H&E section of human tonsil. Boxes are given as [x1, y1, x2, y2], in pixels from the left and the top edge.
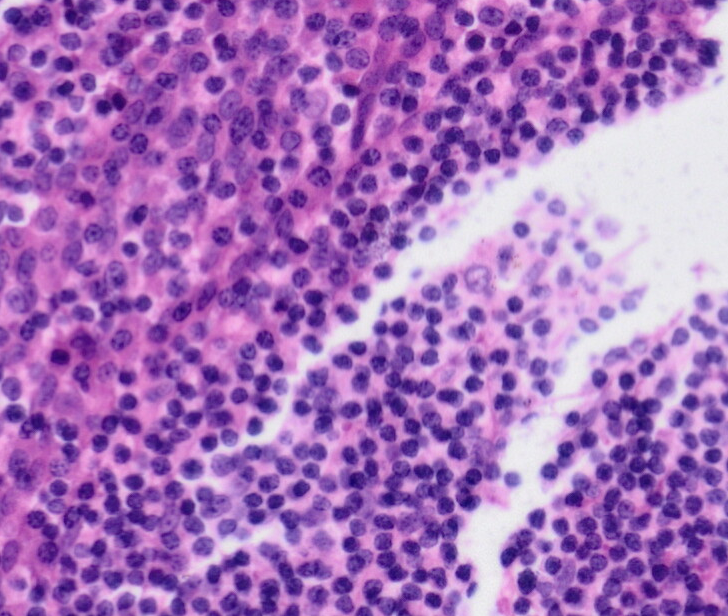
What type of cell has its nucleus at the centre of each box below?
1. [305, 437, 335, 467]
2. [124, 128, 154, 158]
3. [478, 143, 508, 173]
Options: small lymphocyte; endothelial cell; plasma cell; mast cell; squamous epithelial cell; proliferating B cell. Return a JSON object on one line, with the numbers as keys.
{"1": "small lymphocyte", "2": "plasma cell", "3": "small lymphocyte"}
